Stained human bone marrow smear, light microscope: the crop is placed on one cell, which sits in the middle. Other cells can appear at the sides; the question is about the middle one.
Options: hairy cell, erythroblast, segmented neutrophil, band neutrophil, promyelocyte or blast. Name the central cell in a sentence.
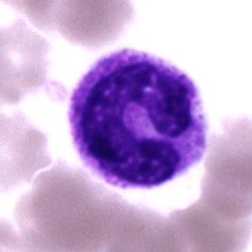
The cell found in the middle of this crop is a band neutrophil.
